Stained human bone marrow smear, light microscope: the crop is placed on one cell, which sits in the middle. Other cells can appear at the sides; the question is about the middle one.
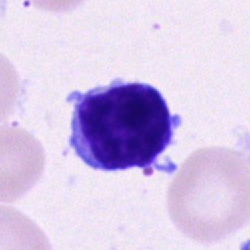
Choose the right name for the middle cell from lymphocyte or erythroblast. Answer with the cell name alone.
lymphocyte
